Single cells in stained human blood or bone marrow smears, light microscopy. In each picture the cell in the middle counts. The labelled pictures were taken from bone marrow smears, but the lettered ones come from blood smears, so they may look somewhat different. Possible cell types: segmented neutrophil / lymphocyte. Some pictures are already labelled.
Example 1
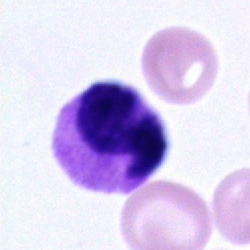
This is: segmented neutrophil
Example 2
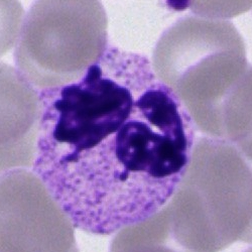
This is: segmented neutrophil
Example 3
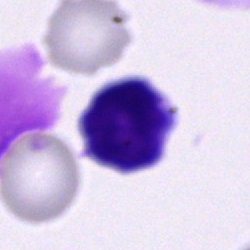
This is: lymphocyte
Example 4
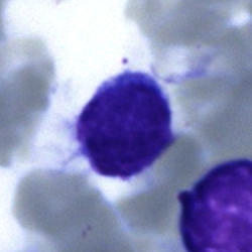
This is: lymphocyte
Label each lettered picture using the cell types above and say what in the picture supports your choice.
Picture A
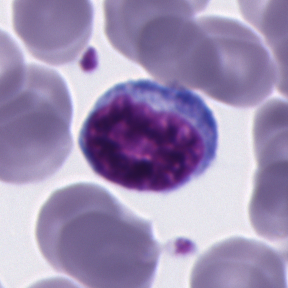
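Answer: lymphocyte. The cytoplasm stains blue.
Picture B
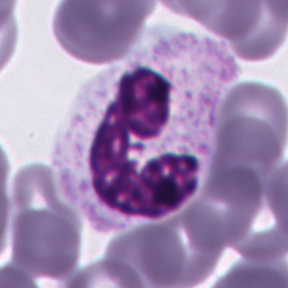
Answer: segmented neutrophil. The nucleus is bent into a C shape whose opening faces right.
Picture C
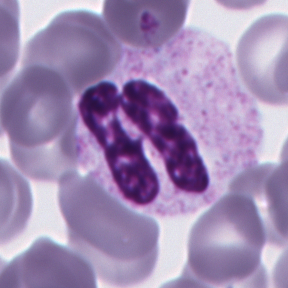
Answer: segmented neutrophil. The nucleus consists of two elongated, sausage-shaped lobes lying side by side.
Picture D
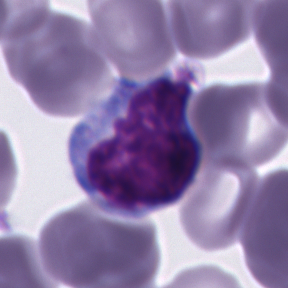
Answer: lymphocyte. The nucleus fills most of the cell and lies toward the right side.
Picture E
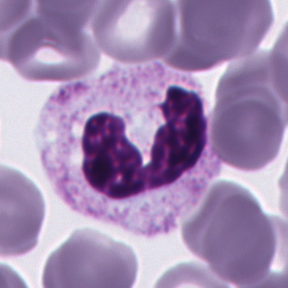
Answer: segmented neutrophil. The nucleus is U-shaped with its opening facing upward.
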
